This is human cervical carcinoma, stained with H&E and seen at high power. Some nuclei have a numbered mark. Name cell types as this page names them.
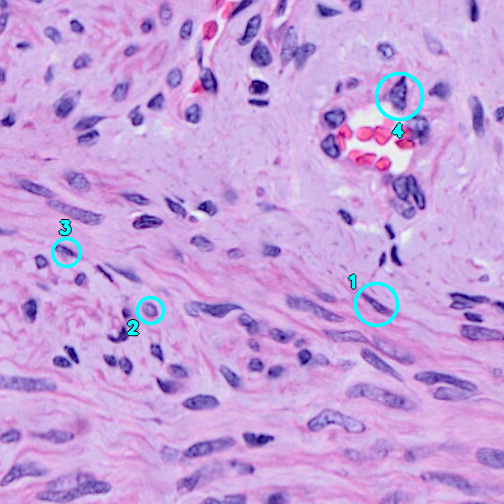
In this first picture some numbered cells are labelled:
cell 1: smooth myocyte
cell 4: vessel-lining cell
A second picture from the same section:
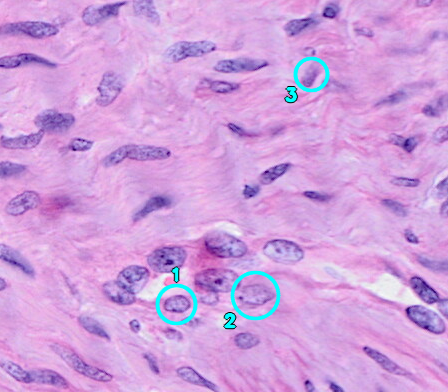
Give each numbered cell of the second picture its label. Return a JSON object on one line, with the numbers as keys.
{"1": "vessel-lining cell", "2": "vessel-lining cell", "3": "smooth myocyte"}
